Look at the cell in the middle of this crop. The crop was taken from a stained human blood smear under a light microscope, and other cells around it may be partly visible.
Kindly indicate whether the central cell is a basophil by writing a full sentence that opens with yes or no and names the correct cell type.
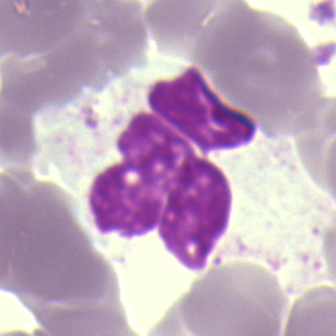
No, what is seen at the centre is a segmented neutrophil instead of a basophil.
